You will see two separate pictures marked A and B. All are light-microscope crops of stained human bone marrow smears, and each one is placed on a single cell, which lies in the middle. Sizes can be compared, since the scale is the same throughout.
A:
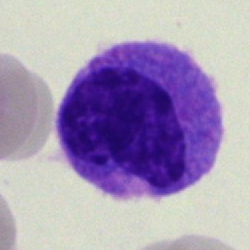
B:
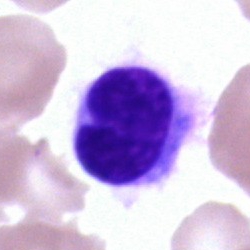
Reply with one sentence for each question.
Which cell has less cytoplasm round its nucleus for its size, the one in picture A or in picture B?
In picture B the nucleus takes up the larger part of its cell.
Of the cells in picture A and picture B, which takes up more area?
It is the cell in picture A, about 1.5 times as large in area as the cell in picture B.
